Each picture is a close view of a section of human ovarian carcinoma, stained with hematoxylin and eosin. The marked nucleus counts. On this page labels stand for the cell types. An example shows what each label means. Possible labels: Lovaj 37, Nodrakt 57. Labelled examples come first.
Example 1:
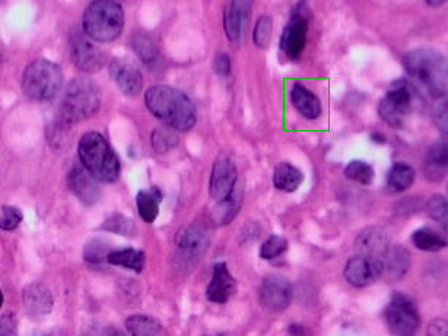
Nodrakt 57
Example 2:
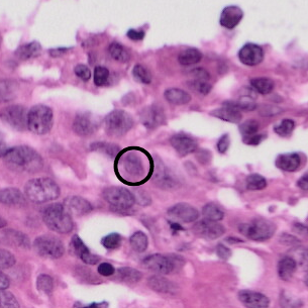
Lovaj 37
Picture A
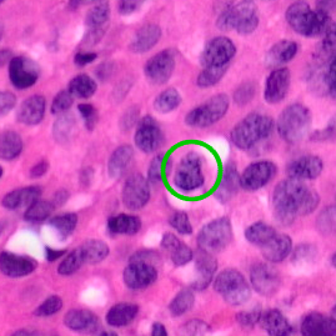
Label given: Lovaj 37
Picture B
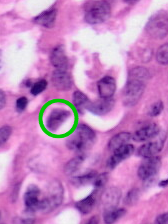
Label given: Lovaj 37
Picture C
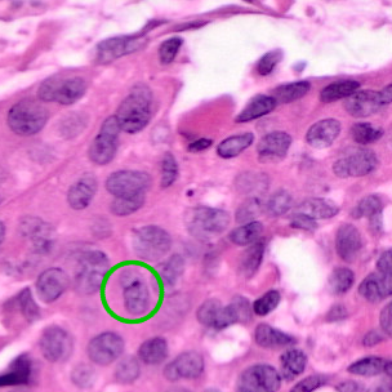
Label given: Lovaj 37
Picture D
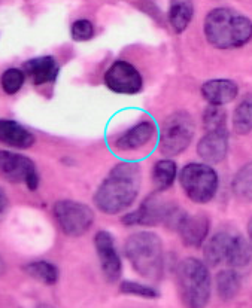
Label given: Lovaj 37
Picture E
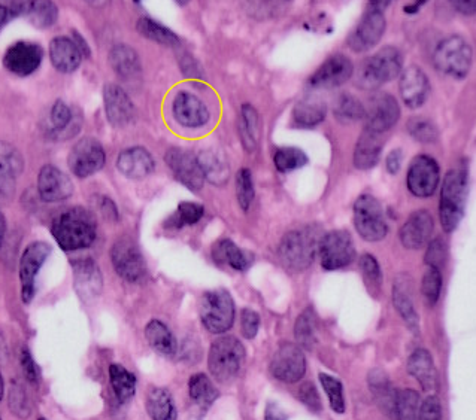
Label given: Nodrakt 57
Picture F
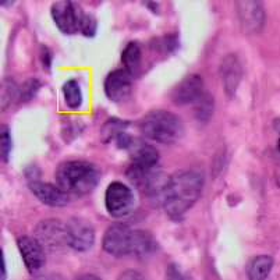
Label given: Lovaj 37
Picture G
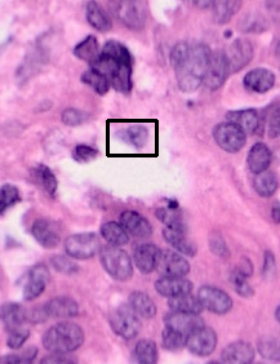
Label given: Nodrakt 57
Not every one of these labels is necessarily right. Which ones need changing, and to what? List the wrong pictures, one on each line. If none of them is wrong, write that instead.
A should be Nodrakt 57, not Lovaj 37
